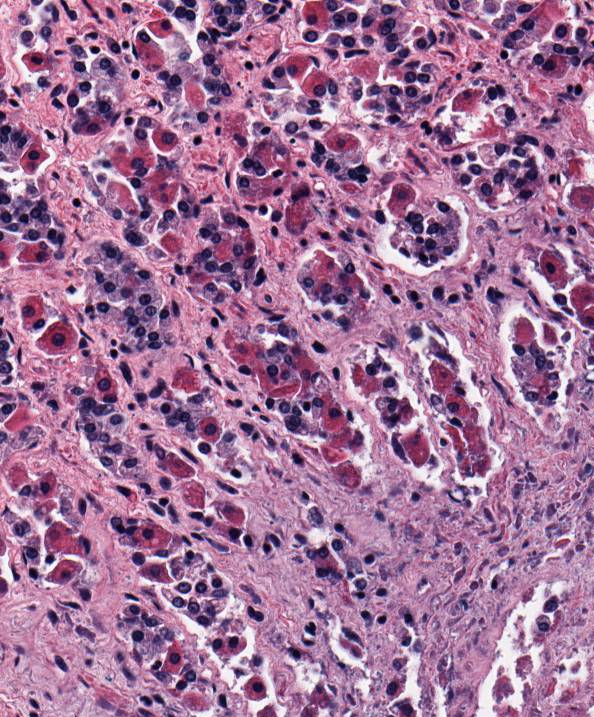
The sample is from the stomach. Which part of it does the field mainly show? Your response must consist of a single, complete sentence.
This tissue section is a view of fundic glands.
